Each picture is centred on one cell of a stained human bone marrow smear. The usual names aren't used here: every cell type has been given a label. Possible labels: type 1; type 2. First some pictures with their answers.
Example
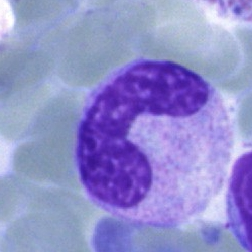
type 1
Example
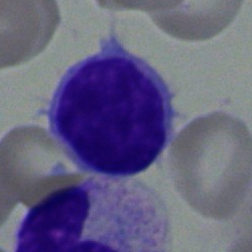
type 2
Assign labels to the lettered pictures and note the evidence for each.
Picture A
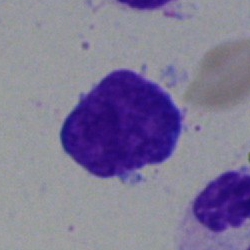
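Answer: type 2. The nucleus fills almost the whole cell, leaving hardly any visible cytoplasm.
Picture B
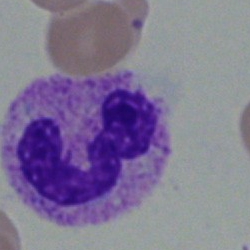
Answer: type 1. The cytoplasm is plentiful and pale pinkish-lilac.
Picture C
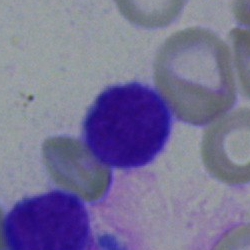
Answer: type 2. The nucleus fills almost the whole cell.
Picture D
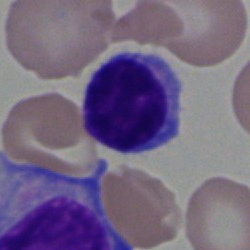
Answer: type 2. The cytoplasm is scant, forming a narrow rim that is widest on the right side.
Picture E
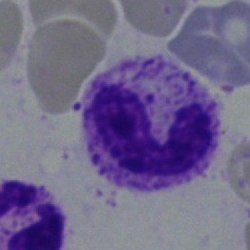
Answer: type 1. The nucleus is curved like a horseshoe, with its indentation opening upward.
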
